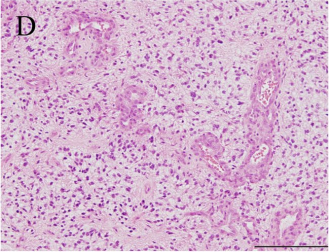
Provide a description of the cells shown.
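This tumor tissue shows microvascular proliferation: several blood vessels have thickened walls lined by multiple layers of plump cells. Around them lies a moderately cellular tumor of oval to spindle nuclei in a pink fibrillary matrix.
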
